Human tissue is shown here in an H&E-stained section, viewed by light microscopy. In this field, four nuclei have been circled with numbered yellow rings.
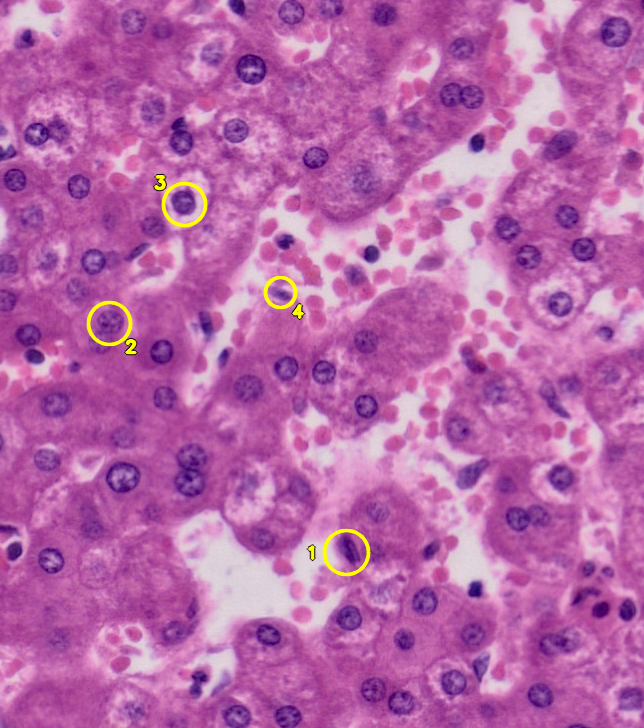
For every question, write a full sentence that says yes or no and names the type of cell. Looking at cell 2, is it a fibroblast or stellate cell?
No, cell 2 is not a fibroblast or stellate cell. It is a hepatocyte.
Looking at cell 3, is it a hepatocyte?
Yes, number 3 is assigned to a cell that is a hepatocyte.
